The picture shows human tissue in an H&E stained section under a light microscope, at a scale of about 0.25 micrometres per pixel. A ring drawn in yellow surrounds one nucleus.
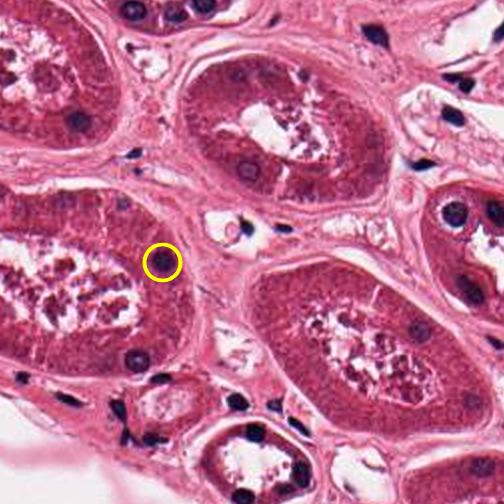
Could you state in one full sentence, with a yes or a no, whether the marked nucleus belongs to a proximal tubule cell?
Yes, in the picture the marked nucleus belongs to a proximal tubule cell.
